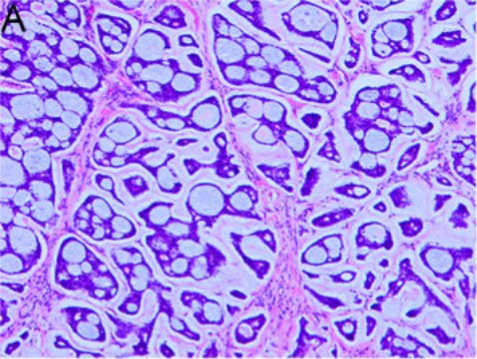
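Here you are looking at a carcinoma built of nests of small, darkly staining epithelial cells with scant cytoplasm. The spaces are filled with pale bluish, faintly stringy material rather than cells, and many are separated from the tumour cells by a thin clear halo. Between the nests runs a narrow band of pink fibrous stroma with a few scattered nuclei. The cells themselves are crowded, with little visible cytoplasm, so the nests look deep purple against the pale lumina and pink stroma.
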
